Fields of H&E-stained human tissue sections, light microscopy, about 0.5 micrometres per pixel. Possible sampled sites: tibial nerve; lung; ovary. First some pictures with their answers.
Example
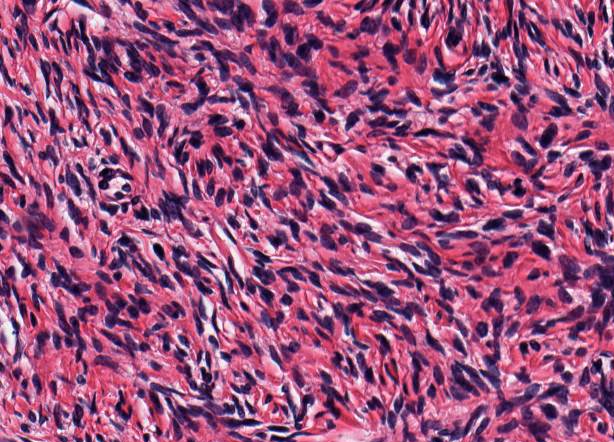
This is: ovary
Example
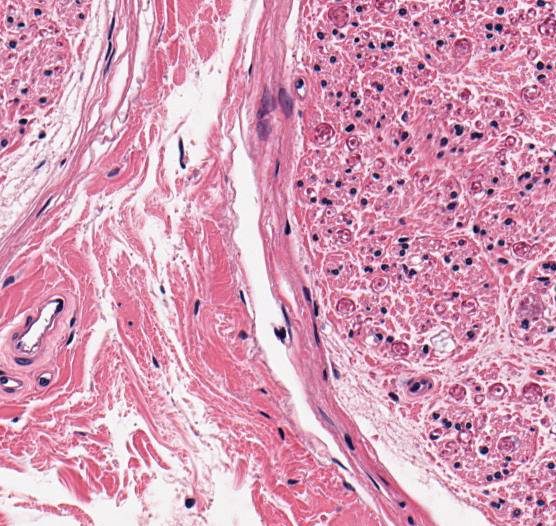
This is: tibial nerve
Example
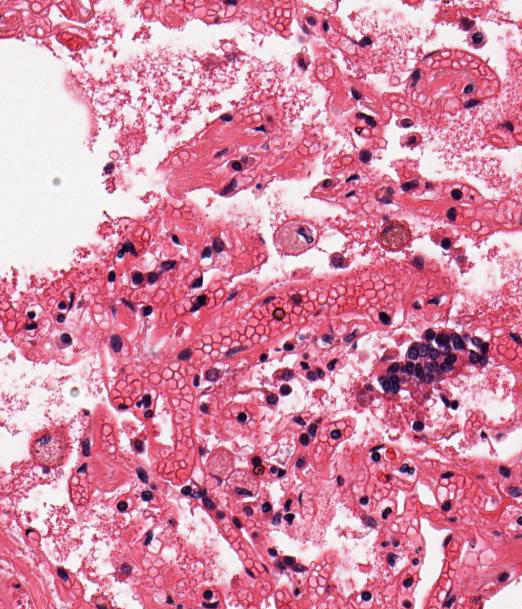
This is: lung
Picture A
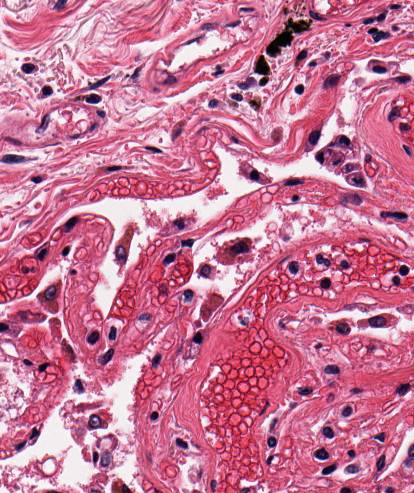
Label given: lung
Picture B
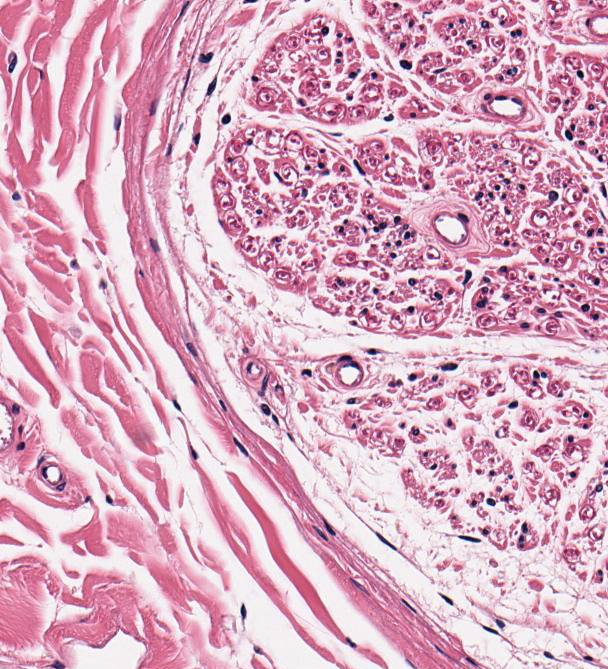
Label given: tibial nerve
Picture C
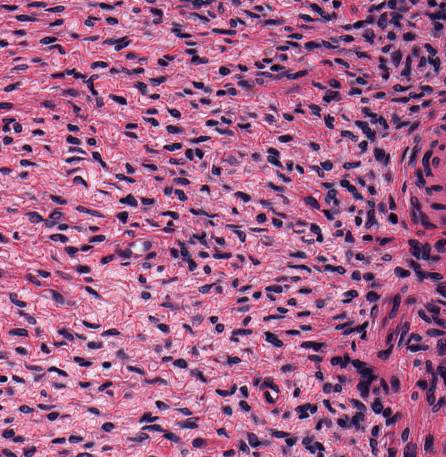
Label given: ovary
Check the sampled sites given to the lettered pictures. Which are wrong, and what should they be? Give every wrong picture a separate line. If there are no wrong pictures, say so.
Every label is right.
